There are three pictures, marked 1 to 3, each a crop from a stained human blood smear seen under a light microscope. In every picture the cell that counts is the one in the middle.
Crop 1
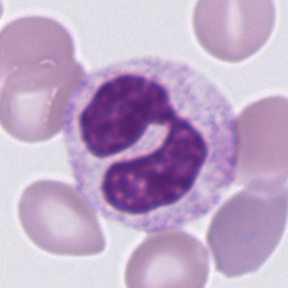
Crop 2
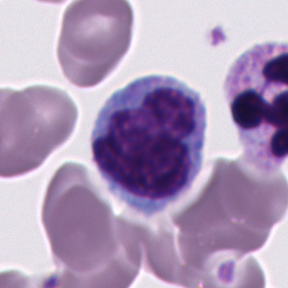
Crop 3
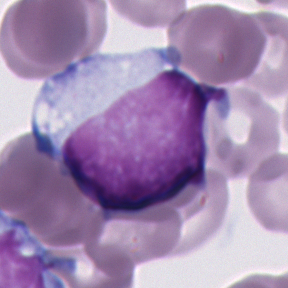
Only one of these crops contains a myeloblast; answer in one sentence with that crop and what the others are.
In this group, crop 3 shows a myeloblast, while crop 1 is a segmented neutrophil and crop 2 is a monocyte.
